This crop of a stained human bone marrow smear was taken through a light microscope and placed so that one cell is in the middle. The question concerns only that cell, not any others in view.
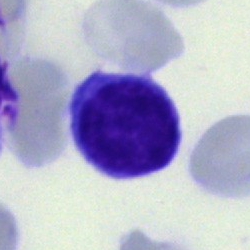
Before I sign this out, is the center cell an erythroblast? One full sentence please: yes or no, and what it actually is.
No, what is centred in the crop is not an erythroblast but a lymphocyte.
